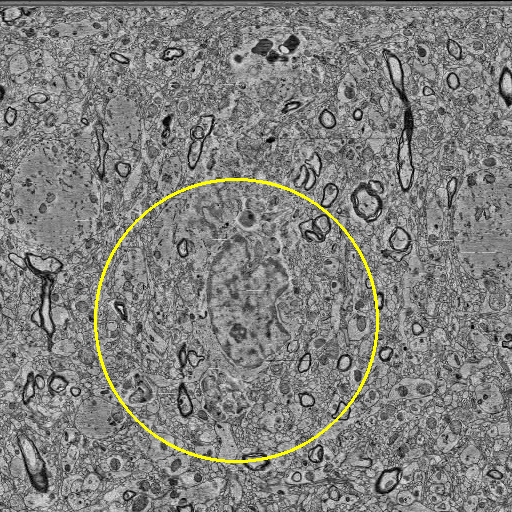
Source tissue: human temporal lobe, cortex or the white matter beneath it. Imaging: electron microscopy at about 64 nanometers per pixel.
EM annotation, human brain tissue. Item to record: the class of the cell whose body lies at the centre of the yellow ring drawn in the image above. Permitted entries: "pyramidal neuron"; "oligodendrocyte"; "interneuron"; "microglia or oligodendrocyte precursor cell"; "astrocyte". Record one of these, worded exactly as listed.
microglia or oligodendrocyte precursor cell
